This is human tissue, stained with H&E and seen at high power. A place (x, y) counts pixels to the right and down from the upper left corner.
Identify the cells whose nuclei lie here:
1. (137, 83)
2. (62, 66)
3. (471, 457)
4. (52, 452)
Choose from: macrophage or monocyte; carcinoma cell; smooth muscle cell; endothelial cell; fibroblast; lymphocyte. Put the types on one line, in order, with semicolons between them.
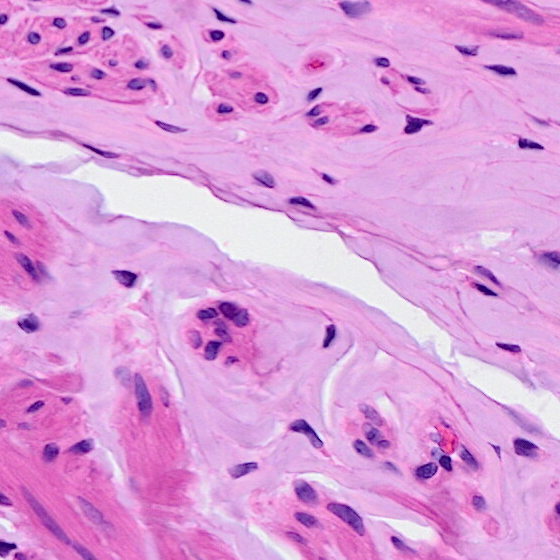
smooth muscle cell; smooth muscle cell; endothelial cell; smooth muscle cell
